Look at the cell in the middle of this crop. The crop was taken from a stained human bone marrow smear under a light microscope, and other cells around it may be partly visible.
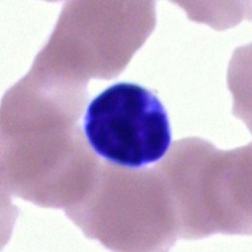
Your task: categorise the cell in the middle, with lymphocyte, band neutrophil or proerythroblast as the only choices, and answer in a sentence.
The cell centred in this crop is categorized as a lymphocyte.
